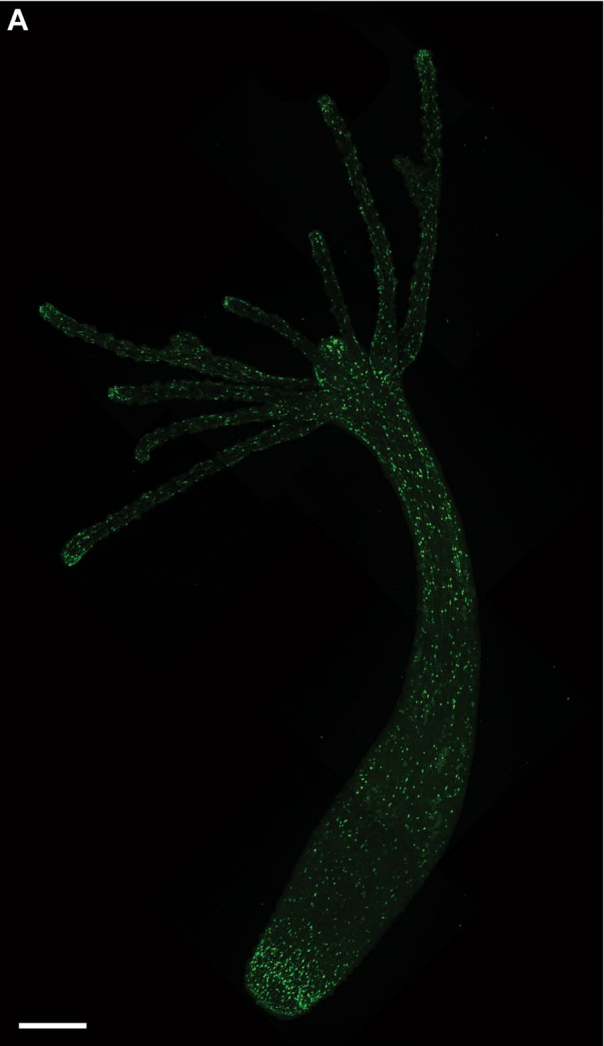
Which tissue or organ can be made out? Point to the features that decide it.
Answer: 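Polyp. A tubular body column ends at one side in a crown of long slender tentacles. Small green dots are scattered along body and tentacles.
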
